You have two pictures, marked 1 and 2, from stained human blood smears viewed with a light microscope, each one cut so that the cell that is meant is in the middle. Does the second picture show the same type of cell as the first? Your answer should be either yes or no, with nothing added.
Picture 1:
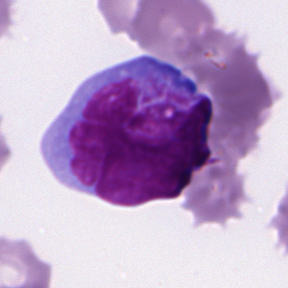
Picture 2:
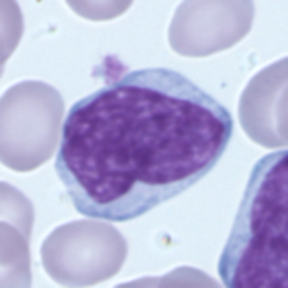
yes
